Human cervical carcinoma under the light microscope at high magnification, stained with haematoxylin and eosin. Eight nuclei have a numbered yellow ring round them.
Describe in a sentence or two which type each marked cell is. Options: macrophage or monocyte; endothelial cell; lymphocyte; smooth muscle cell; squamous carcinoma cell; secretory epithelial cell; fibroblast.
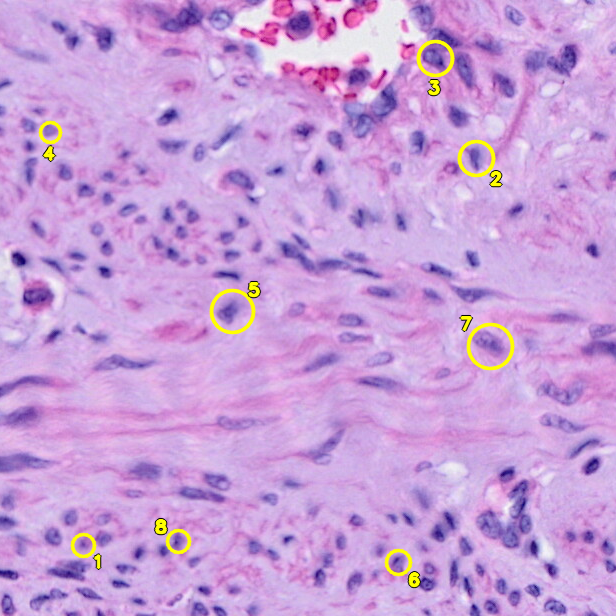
Cell 1 is a smooth muscle cell, cell 2 is a fibroblast, cell 3 is an endothelial cell, cell 4 is a smooth muscle cell, cell 5 is a fibroblast, cell 6 is a smooth muscle cell, cell 7 is a smooth muscle cell and cell 8 is a smooth muscle cell.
